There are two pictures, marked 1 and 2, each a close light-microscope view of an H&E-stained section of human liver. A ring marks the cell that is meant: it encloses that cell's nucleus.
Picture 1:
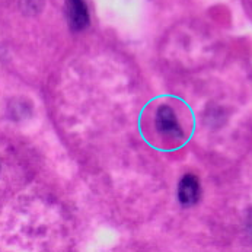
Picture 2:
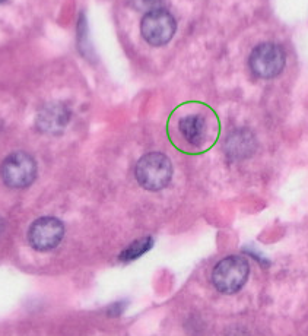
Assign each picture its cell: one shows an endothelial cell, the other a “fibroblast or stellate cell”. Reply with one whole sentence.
Picture 1 shows an endothelial cell and picture 2 shows a “fibroblast or stellate cell”.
